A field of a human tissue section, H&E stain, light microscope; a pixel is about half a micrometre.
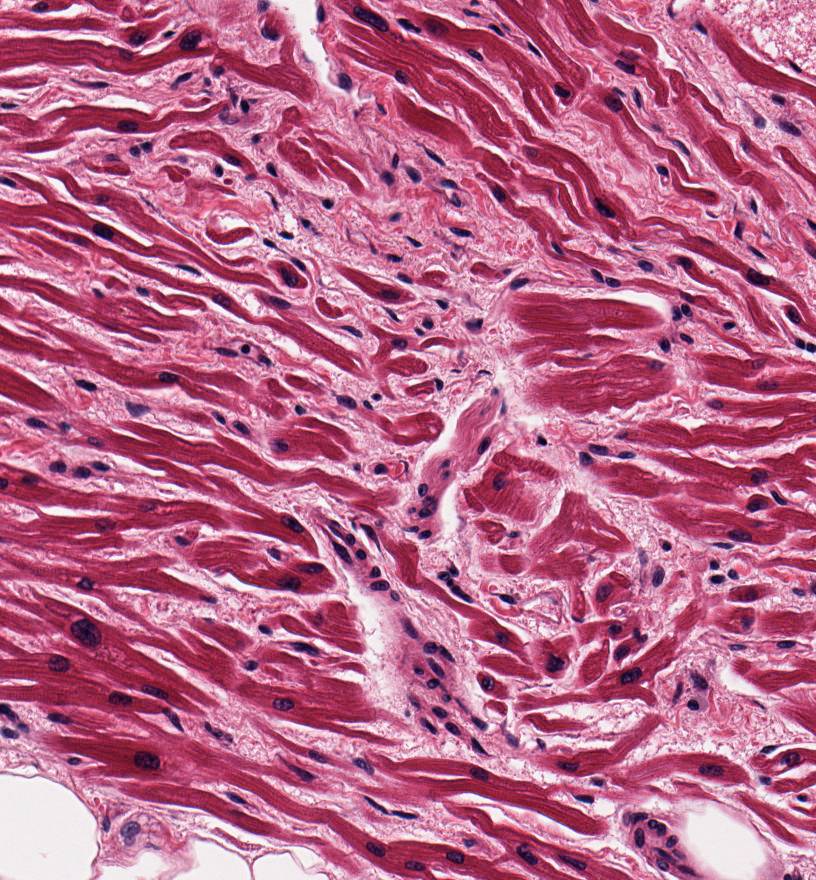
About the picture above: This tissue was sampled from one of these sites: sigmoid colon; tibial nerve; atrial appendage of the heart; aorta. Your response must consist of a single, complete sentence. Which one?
In this section is tissue sampled from the atrial appendage of the heart.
